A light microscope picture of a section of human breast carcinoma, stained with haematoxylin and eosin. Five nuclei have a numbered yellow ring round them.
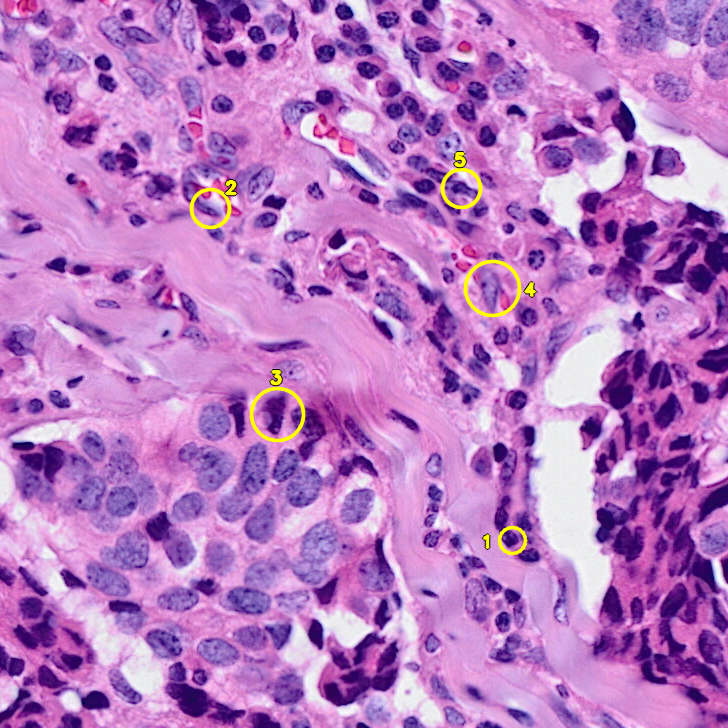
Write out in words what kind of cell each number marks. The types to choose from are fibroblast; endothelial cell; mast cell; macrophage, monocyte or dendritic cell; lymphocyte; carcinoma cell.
Cells 1 and 5 are lymphocytes. Cells 2 and 4 are endothelial cells. Cell 3 is a carcinoma cell.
